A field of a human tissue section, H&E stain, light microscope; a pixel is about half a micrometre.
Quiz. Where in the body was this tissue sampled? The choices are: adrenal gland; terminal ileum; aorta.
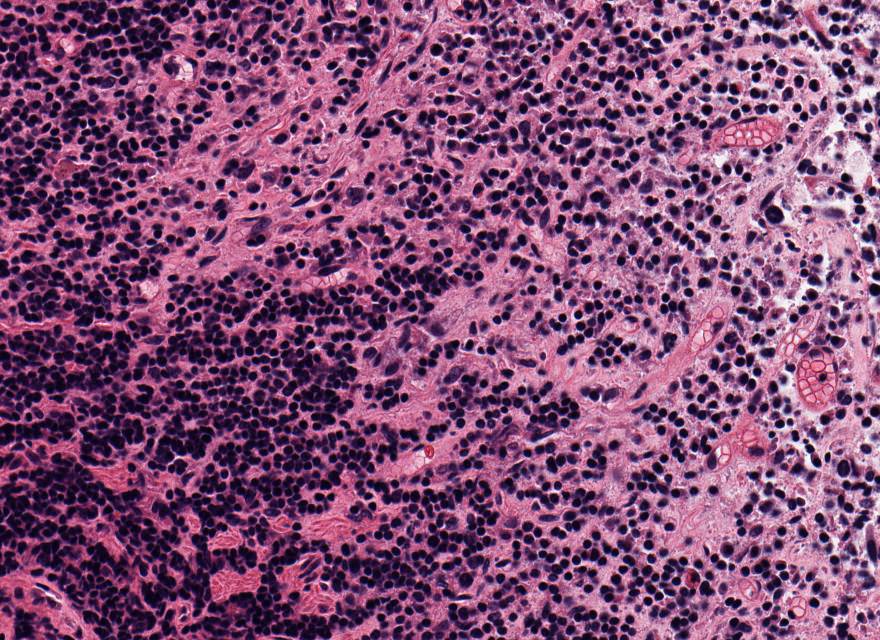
terminal ileum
